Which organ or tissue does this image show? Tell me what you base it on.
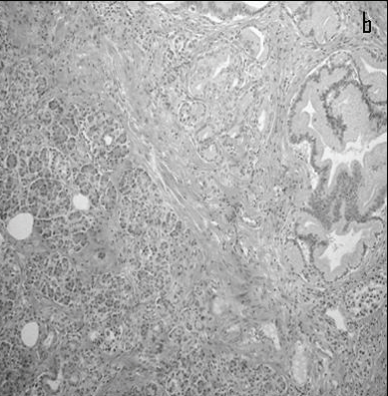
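Pancreatic tissue. Densely packed acini of polygonal cells with granular cytoplasm. A branching duct lined by columnar epithelium at the right. Fibrous septa separating glandular lobules.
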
